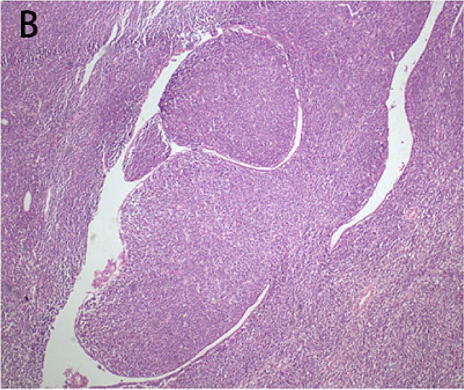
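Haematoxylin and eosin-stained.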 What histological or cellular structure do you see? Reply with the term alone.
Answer: Phyllodes-like structure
